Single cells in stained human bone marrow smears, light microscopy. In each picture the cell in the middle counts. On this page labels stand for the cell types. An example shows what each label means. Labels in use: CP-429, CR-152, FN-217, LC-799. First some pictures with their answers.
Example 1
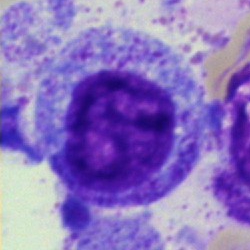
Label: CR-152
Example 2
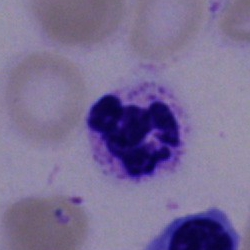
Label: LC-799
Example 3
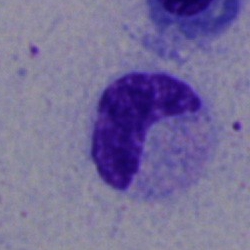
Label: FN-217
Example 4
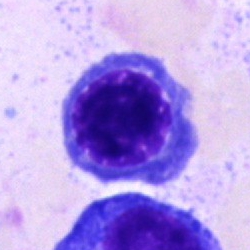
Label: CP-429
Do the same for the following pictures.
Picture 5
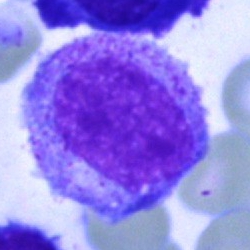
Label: CR-152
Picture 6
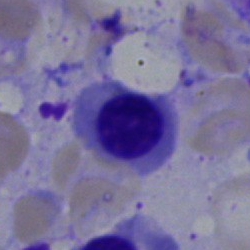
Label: CP-429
